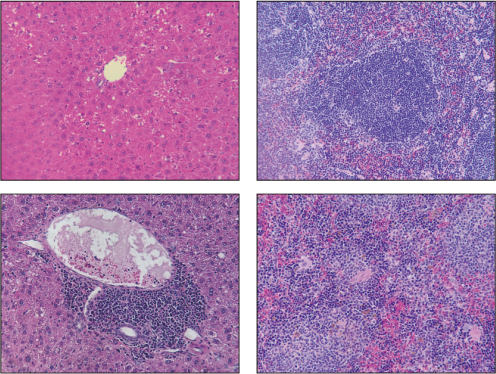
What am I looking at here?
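In the upper liver, pink hepatocytes with round nuclei form cords around a central vein. In the lower liver, a dense focus of small cells with dark purple nuclei lies beside a large vessel and pushes into the surrounding hepatocytes. The upper spleen shows a rounded, dark, densely cellular follicle set in red pulp, while the lower spleen has no clear follicle and is diffusely filled with packed cells mixed with red blood cells.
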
